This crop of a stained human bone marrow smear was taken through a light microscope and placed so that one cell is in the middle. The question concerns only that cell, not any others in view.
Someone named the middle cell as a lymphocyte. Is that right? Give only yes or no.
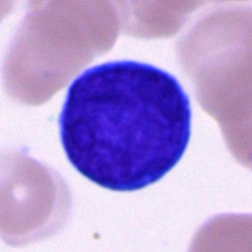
no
